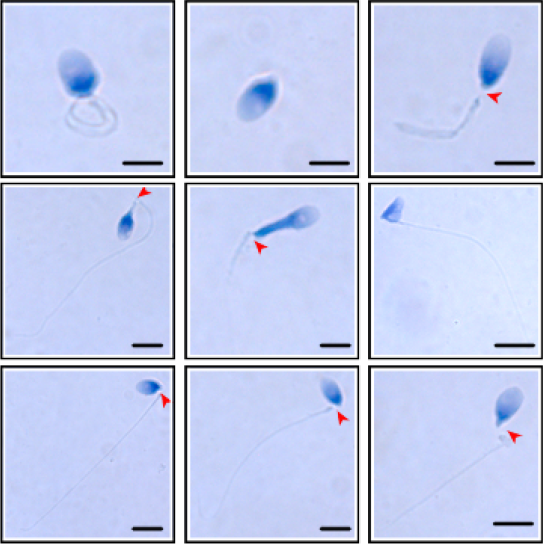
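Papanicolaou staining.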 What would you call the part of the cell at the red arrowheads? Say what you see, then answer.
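Arrowheads point to where the head meets the tail. The marked spot sits at the base of the blue head.
Hence: sperm-head connecting piece.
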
